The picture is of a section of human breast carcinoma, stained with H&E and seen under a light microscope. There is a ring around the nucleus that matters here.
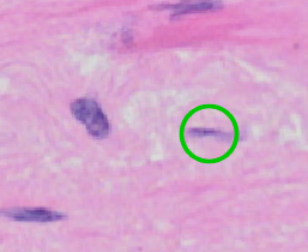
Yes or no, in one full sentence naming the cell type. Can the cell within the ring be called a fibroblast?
Yes, the cell within the ring qualifies as a fibroblast in this section.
